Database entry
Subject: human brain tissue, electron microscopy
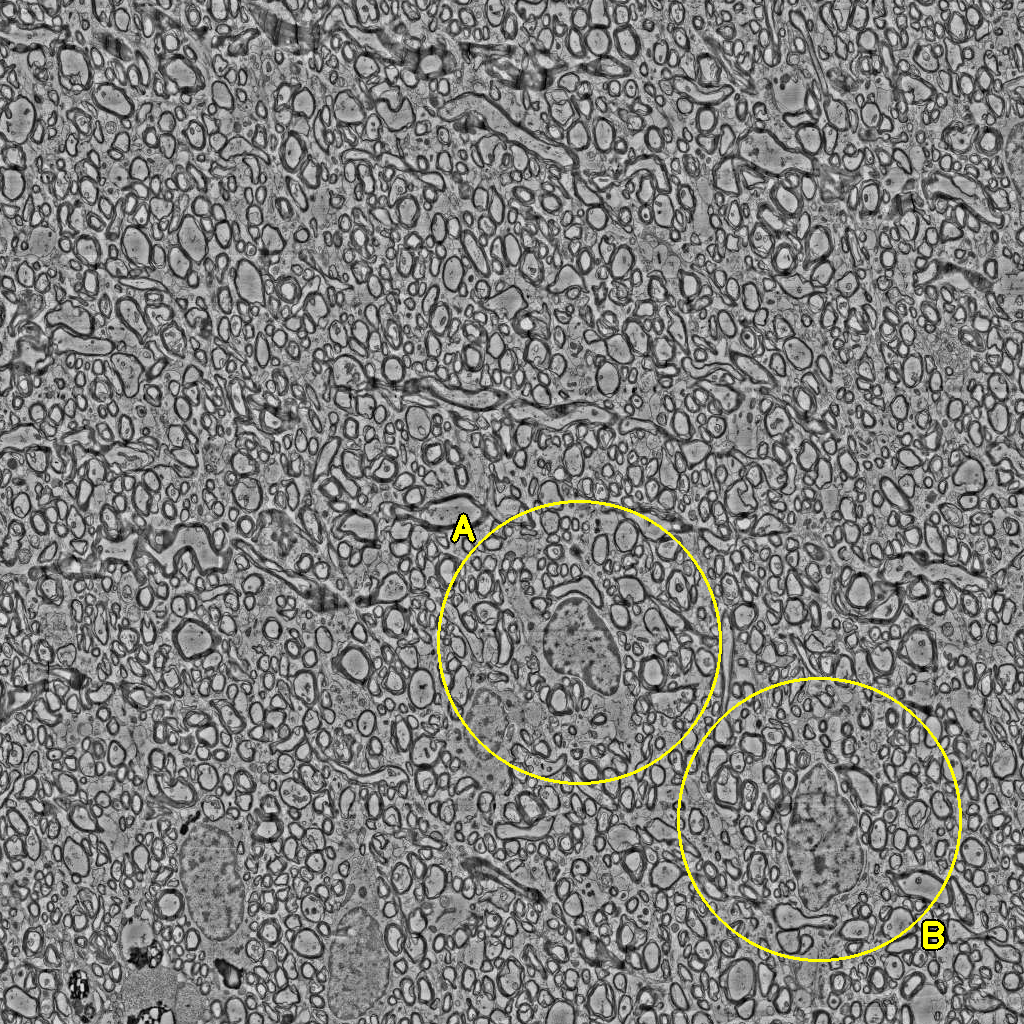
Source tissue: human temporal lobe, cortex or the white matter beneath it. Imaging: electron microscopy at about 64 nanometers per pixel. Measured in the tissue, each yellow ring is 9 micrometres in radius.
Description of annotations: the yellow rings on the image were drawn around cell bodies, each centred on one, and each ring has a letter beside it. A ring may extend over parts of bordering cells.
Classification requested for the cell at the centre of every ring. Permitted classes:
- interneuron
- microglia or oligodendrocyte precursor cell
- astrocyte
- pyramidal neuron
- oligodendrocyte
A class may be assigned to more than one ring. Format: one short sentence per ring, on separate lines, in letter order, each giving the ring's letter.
The cell body at the centre of ring A is a microglial cell or oligodendrocyte precursor cell.
The cell body at the centre of ring B is a microglial cell or oligodendrocyte precursor cell.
